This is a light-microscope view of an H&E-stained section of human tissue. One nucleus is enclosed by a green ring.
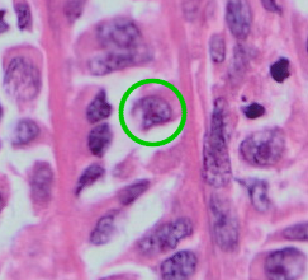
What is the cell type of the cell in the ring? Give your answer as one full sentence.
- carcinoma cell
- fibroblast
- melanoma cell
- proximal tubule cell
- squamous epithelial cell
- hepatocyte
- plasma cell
Typologically, the cell in the ring is a melanoma cell in this section.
